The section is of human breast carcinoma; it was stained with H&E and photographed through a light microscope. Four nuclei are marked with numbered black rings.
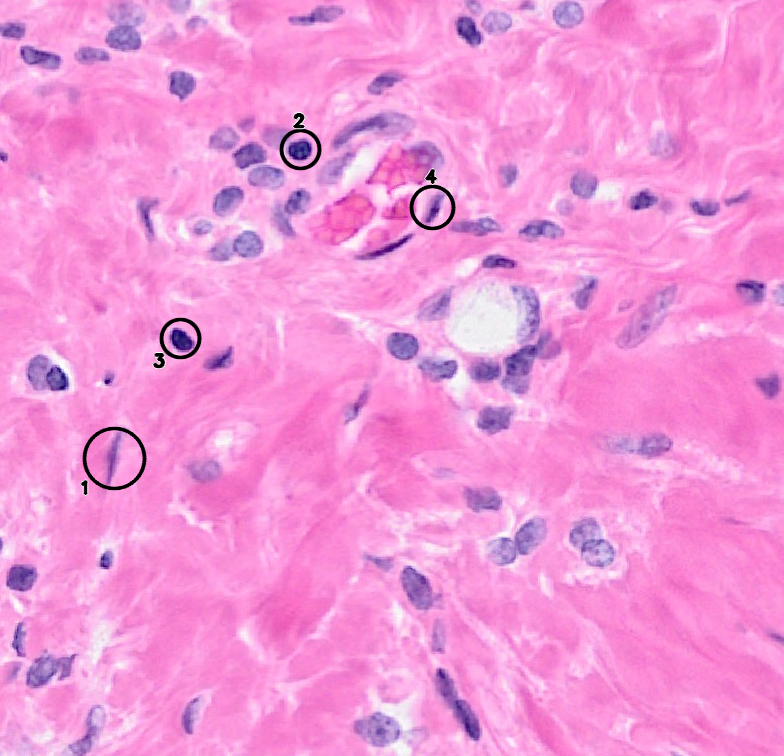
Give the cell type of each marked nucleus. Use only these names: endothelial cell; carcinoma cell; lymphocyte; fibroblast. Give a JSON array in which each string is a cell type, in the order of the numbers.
["fibroblast", "lymphocyte", "lymphocyte", "endothelial cell"]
